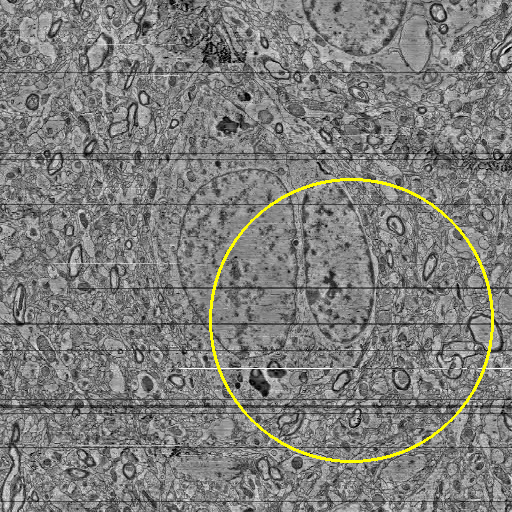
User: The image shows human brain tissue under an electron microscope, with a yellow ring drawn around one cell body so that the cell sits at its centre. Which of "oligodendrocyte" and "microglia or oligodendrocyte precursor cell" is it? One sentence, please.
At the centre of the ring sits a microglial cell or oligodendrocyte precursor cell.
